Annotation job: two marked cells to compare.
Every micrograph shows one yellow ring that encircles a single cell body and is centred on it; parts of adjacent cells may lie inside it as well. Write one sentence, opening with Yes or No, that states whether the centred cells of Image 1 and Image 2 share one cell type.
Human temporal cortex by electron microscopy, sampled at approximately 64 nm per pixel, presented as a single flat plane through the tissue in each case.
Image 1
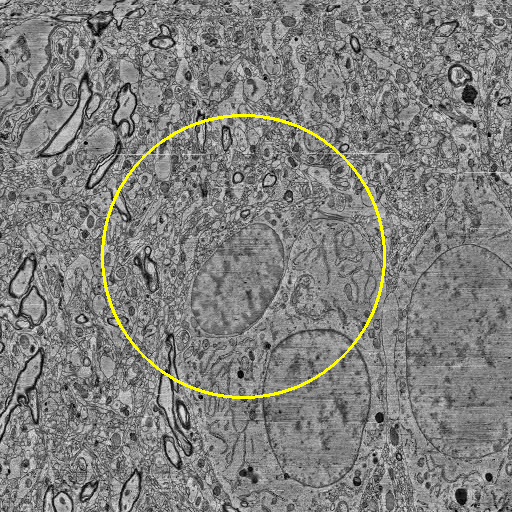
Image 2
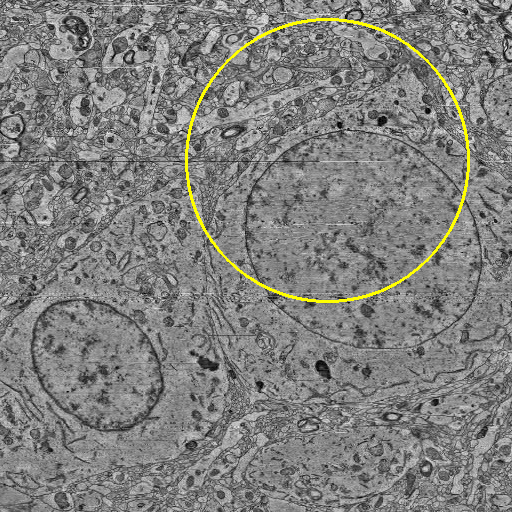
No, the cell centred in Image 1 and the cell centred in Image 2 are of two types.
